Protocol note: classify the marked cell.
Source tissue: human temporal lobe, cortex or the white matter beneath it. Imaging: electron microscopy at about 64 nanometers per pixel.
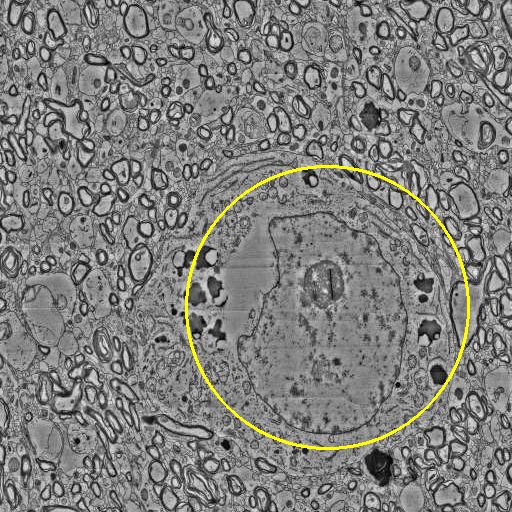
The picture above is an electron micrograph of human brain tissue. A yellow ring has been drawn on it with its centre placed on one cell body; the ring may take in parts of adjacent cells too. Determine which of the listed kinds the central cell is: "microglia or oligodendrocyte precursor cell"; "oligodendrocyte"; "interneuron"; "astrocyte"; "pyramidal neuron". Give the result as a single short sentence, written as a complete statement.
The central cell is a pyramidal neuron.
